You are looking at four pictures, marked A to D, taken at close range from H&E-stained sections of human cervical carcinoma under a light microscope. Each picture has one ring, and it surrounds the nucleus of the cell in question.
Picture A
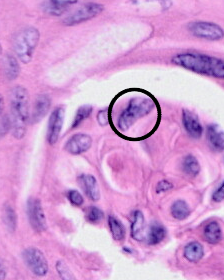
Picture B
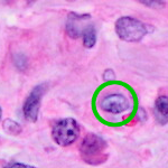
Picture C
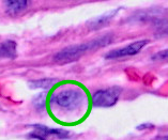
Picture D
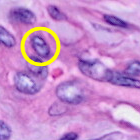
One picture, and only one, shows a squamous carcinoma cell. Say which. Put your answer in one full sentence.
The cell in picture A is the squamous carcinoma cell.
